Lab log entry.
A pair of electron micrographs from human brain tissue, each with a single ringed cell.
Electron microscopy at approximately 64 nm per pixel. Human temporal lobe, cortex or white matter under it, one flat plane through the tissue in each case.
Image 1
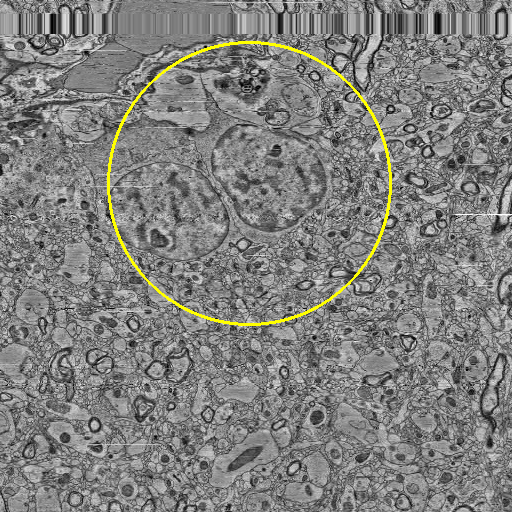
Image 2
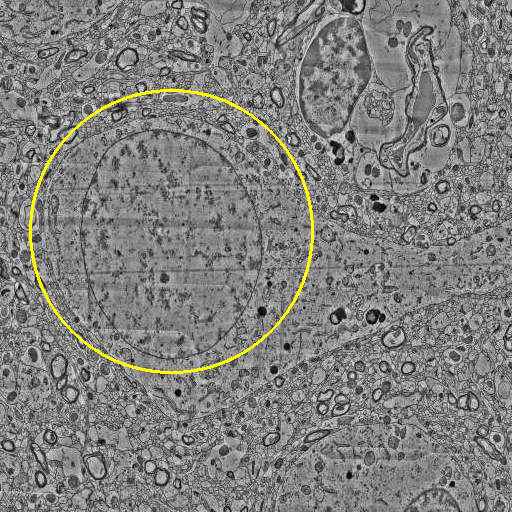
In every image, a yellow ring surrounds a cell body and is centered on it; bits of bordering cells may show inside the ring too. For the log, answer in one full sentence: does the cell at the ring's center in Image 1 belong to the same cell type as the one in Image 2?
No, the cells at the ring centers in Image 1 and Image 2 are of separate types.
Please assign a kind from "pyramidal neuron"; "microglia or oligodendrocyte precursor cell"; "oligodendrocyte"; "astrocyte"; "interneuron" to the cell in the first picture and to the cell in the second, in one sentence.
In the first picture we have an oligodendrocyte, and in the second, a pyramidal neuron.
